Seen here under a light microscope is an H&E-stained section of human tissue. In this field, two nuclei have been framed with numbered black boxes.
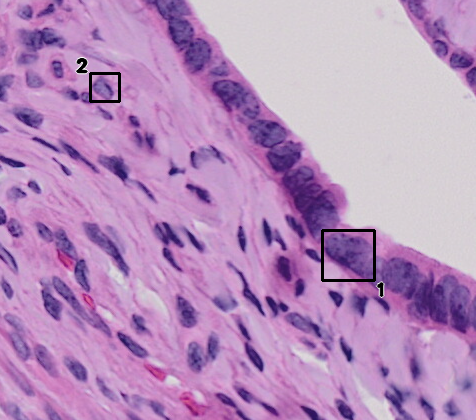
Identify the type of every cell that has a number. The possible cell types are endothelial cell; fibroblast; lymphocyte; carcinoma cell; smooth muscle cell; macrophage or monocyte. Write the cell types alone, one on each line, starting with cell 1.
carcinoma cell
smooth muscle cell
